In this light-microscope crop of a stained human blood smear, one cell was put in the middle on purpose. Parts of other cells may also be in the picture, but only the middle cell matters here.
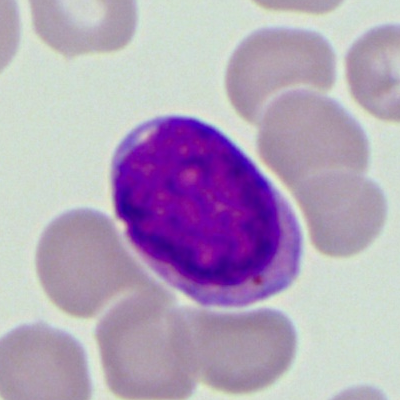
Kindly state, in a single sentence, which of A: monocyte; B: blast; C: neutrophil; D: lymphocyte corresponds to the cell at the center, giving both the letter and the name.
The centered cell is a blast, which is why option B is right.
